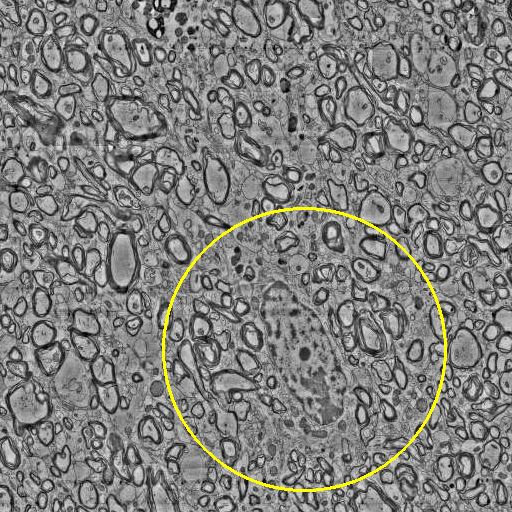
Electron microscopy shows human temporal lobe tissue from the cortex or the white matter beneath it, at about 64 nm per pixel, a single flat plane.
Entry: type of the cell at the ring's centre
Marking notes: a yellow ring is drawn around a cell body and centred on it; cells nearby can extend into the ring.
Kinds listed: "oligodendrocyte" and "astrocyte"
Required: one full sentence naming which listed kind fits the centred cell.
My entry names an astrocyte as the cell whose body the yellow ring centres on.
